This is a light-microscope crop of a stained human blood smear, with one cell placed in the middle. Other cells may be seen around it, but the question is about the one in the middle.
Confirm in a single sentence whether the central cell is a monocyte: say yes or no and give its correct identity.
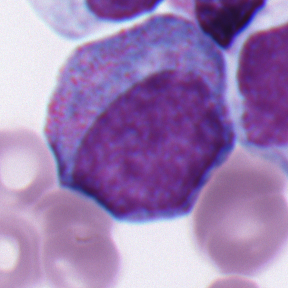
No, a monocyte is not what the central cell is; it is a promyelocyte.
